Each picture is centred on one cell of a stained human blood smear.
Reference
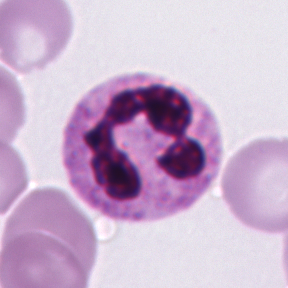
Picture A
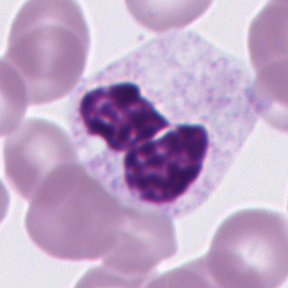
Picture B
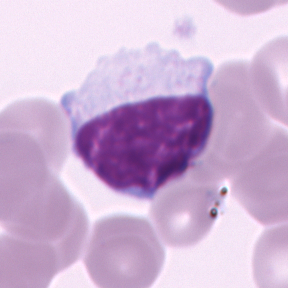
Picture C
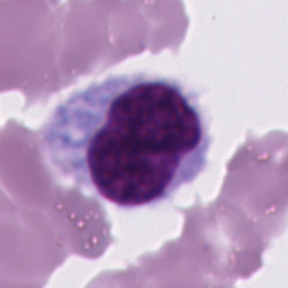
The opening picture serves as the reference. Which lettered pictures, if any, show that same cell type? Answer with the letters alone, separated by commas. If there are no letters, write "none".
A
